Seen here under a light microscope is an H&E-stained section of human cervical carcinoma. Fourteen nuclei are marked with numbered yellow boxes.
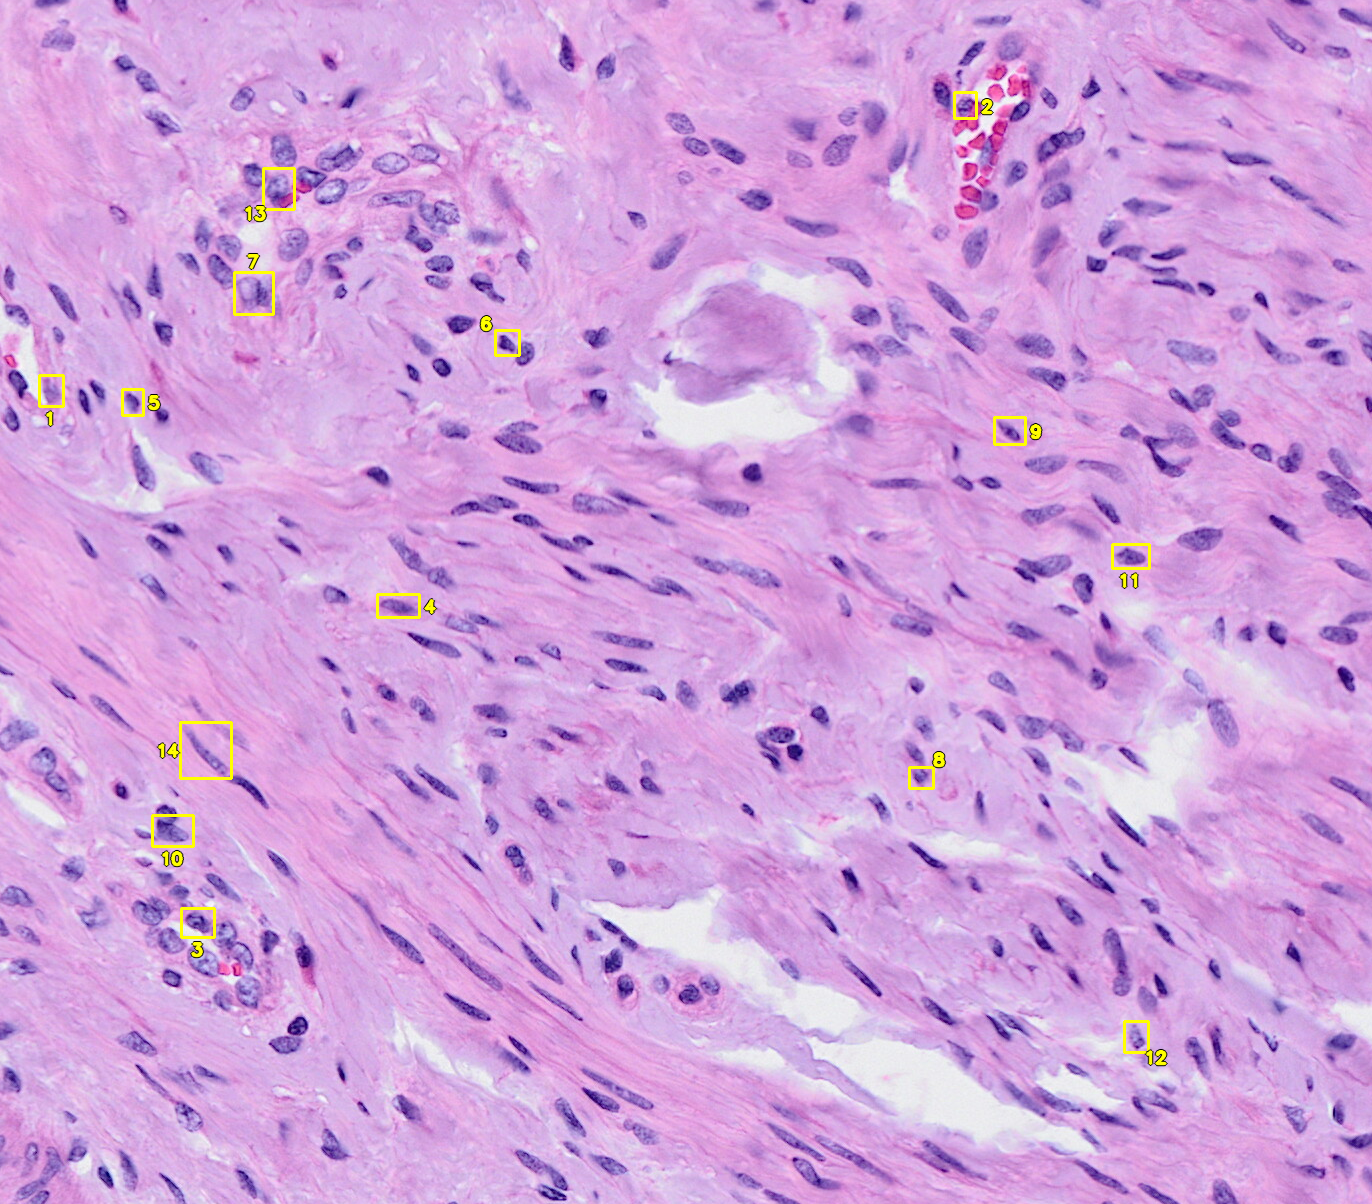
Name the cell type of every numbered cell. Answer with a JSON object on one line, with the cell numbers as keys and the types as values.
{"1": "endothelial cell", "2": "endothelial cell", "3": "endothelial cell", "4": "smooth muscle cell", "5": "fibroblast", "6": "fibroblast", "7": "endothelial cell", "8": "smooth muscle cell", "9": "fibroblast", "10": "fibroblast", "11": "fibroblast", "12": "fibroblast", "13": "endothelial cell", "14": "fibroblast"}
